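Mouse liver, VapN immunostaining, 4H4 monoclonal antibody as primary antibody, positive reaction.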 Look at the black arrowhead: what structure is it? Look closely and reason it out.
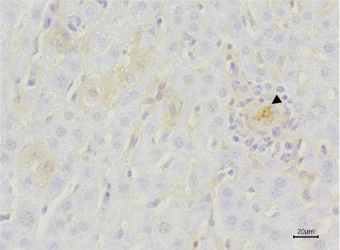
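Microgranuloma. The arrowhead marks a small focal cluster of cells between hepatic cords. Brown granular material lies within the cluster. Small blue nuclei surround the brown material.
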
